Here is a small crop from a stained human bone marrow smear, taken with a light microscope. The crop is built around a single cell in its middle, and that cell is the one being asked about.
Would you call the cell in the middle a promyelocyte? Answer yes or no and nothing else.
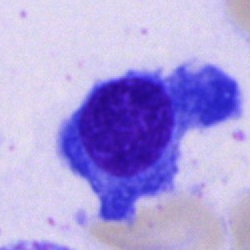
no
